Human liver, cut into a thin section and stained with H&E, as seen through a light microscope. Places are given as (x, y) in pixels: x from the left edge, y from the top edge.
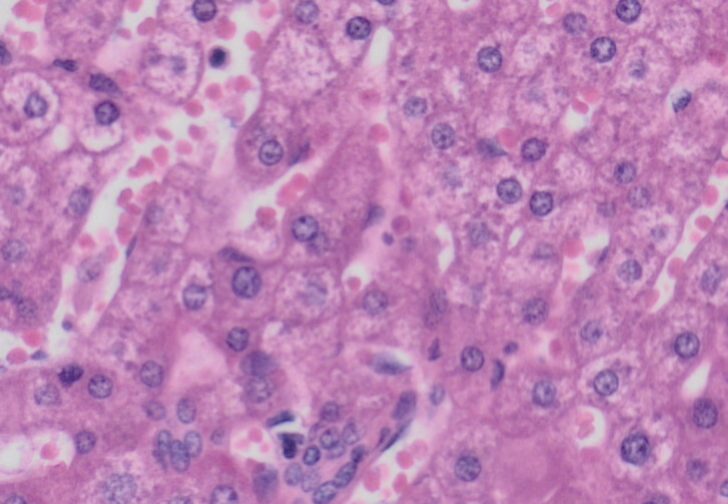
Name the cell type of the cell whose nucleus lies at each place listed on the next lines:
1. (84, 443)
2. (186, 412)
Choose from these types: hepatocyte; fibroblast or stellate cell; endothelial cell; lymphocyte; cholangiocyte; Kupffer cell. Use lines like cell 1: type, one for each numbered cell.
cell 1: hepatocyte
cell 2: cholangiocyte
